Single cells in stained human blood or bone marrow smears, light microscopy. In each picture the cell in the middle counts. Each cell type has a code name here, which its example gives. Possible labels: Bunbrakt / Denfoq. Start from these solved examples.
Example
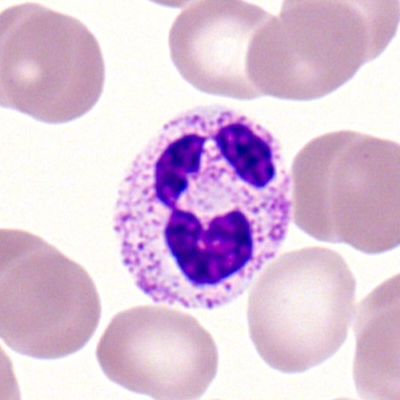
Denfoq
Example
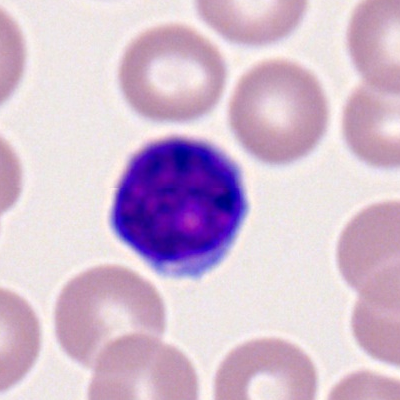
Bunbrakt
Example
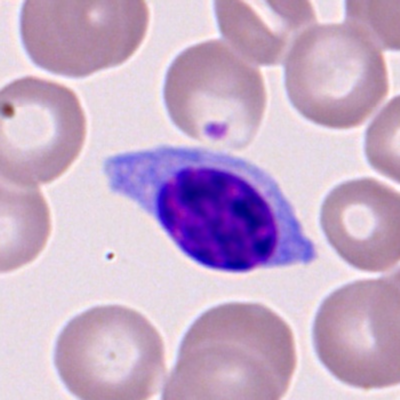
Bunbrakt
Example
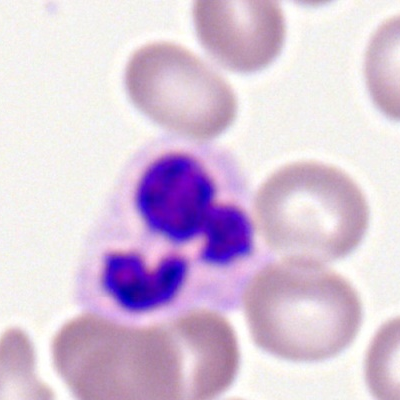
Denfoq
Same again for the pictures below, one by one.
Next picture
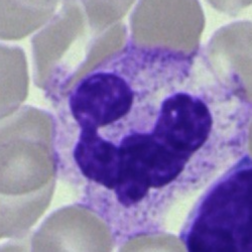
Denfoq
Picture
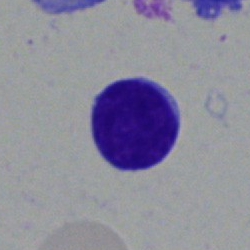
Bunbrakt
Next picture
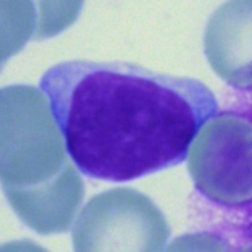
Bunbrakt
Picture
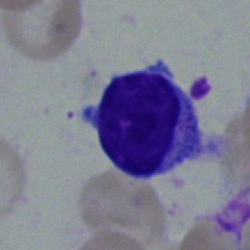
Bunbrakt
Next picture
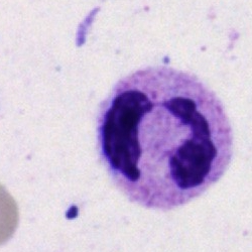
Denfoq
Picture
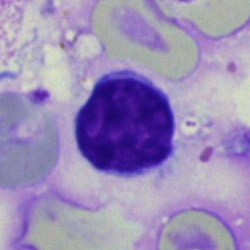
Bunbrakt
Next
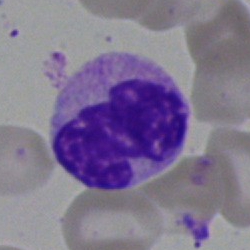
Denfoq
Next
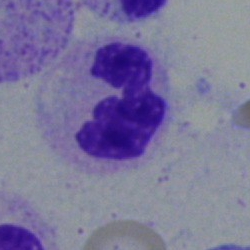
Denfoq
